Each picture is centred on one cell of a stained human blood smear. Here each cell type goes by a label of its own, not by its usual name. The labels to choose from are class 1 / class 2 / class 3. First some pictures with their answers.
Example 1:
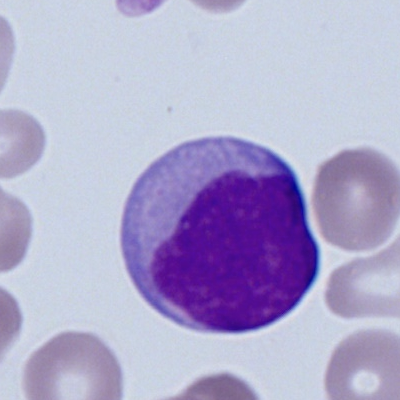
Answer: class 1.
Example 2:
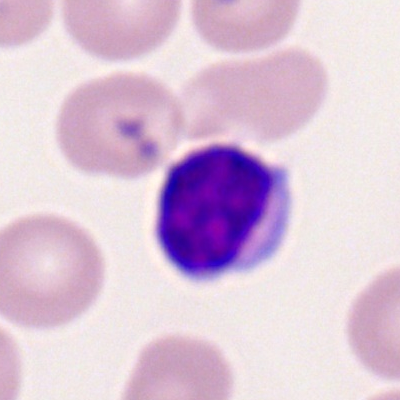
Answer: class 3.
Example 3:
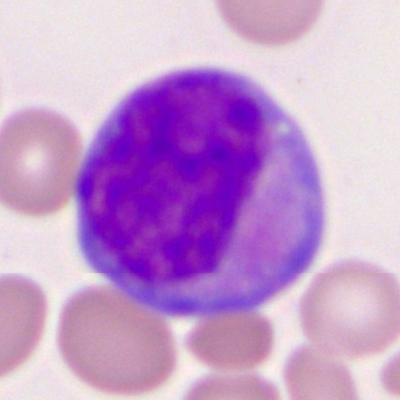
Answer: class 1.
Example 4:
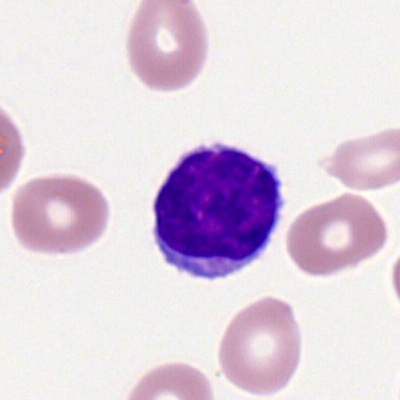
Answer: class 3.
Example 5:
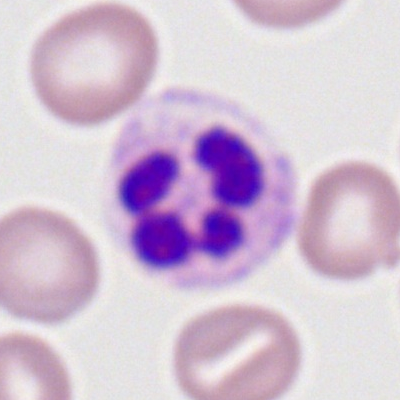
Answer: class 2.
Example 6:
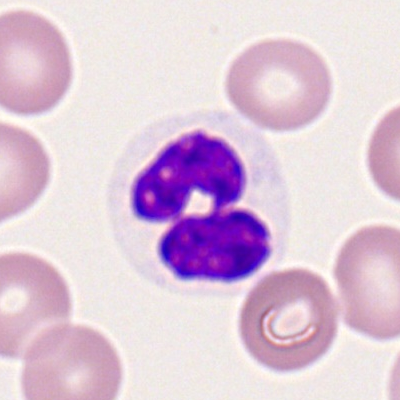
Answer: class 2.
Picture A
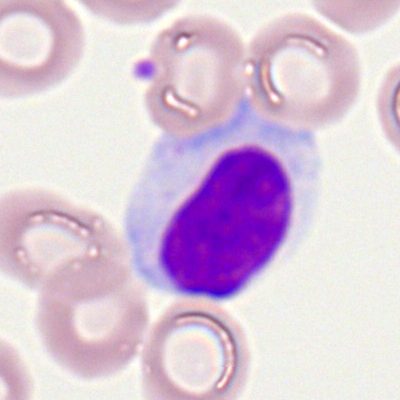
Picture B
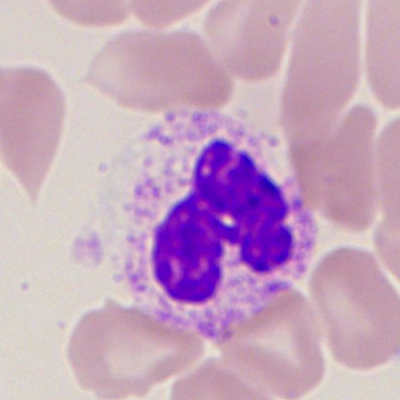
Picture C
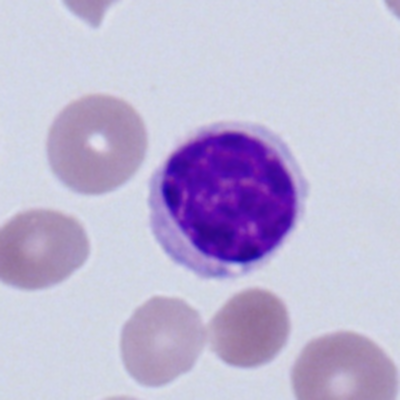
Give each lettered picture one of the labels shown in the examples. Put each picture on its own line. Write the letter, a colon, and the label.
A: class 3.
B: class 2.
C: class 3.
